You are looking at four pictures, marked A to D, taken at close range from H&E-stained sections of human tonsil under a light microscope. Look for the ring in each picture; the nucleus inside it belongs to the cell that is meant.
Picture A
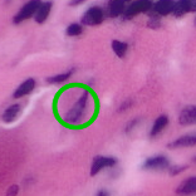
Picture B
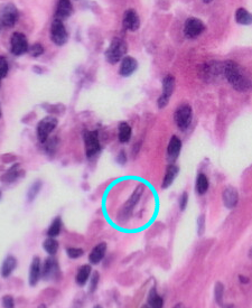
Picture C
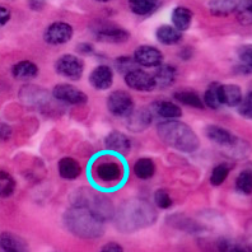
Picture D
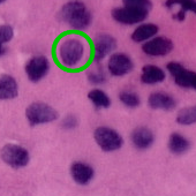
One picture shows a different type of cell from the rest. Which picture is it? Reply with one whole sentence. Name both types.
Unlike the rest, which show endothelial cells, picture D shows a squamous epithelial cell.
